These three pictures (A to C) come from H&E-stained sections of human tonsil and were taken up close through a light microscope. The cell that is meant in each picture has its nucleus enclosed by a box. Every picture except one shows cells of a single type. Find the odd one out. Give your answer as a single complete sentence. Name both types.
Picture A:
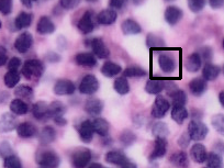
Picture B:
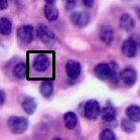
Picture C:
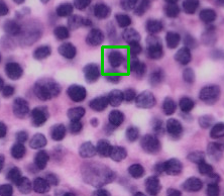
Picture B is the odd one out: it shows a plasma cell, while the others show small lymphocytes.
